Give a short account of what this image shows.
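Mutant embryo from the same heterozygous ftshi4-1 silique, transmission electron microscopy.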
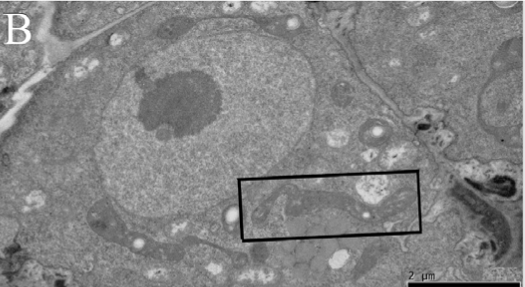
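Small pale vacuole-like spaces, some with flocculent content, are scattered in the cytoplasm. Cell walls of neighbouring cells run along the upper right, with dense dark deposits near the margin. No lens-shaped organelles filled with parallel membranes are seen.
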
